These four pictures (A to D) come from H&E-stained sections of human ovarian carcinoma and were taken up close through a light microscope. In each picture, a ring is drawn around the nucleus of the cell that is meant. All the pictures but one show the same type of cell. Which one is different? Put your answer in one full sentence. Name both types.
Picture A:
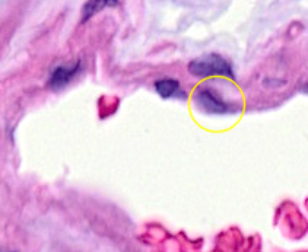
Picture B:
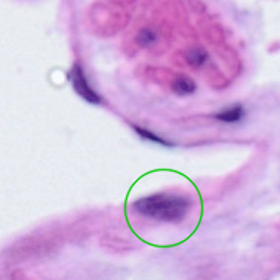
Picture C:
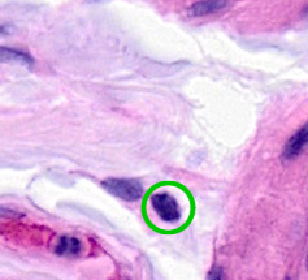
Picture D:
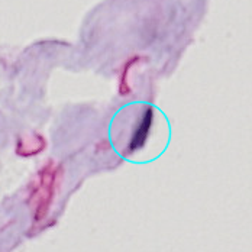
Unlike the rest, which show endothelial cells, picture C shows a lymphocyte.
